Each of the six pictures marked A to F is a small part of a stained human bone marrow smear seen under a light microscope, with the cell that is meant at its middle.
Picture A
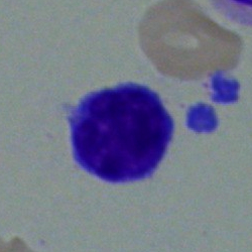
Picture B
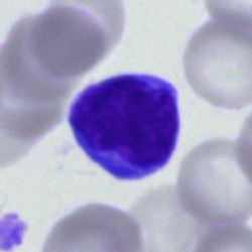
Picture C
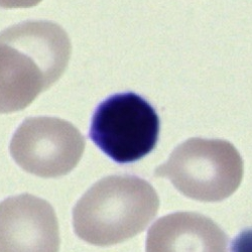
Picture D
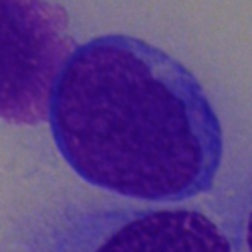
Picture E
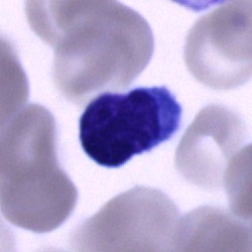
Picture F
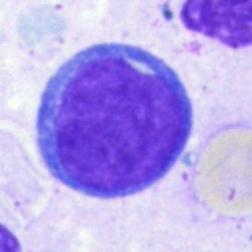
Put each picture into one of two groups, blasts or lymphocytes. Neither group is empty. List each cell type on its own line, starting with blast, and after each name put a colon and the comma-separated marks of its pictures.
blast: B, D, F
lymphocyte: A, C, E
